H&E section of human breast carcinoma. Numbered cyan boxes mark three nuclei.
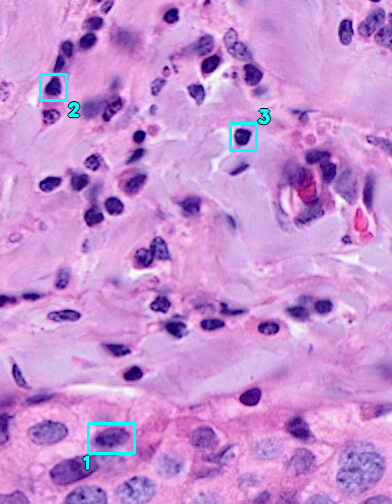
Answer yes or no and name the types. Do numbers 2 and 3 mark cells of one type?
Yes, both are lymphocytes.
